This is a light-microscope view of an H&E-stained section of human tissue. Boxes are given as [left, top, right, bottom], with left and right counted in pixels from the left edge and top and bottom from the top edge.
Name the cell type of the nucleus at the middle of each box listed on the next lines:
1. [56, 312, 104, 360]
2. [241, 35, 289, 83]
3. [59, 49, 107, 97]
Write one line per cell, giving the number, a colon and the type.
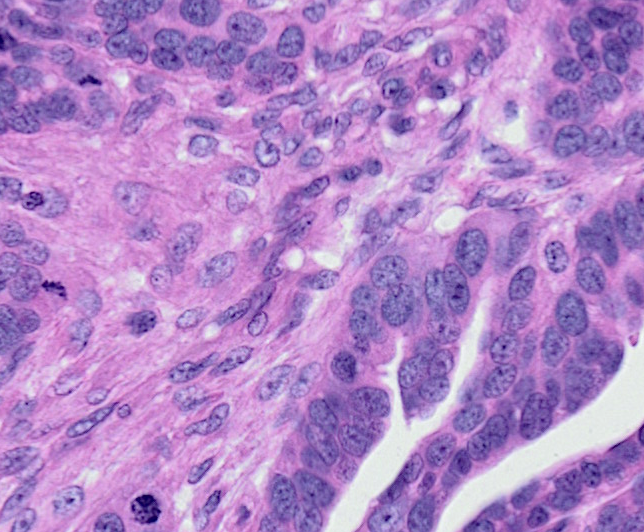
1: fibroblast
2: carcinoma cell
3: carcinoma cell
